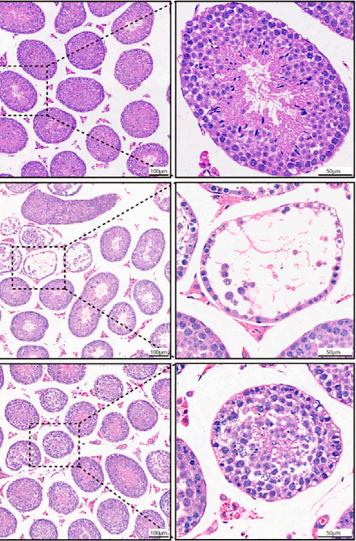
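These are cross-sections of seminiferous tubules of the testis, stained pink and purple, shown at low magnification on the left and at higher magnification on the right. In the top row the tubules are round and full: many layers of germ cells with dark purple nuclei fill the wall from the edge toward a central lumen that holds fine pink strands. In the middle row many tubules look emptied, with a thin wall of few cells, wide pale spaces, and loose rounded cells floating in the lumen, and one tubule is cut lengthwise. In the bottom row the tubules are again mostly filled with layered germ cells, though the enlarged tubule looks somewhat less orderly than the top one. Between the tubules lies a little loose connective tissue with small vessels and scattered cells.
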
